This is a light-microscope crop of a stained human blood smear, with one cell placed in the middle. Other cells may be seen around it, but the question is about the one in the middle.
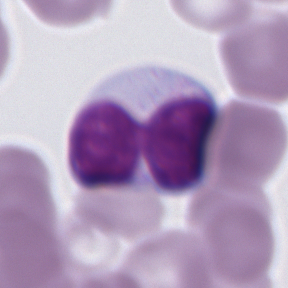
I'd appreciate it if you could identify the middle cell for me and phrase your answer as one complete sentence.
As for the cell in the middle, it is a large granular lymphocyte.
